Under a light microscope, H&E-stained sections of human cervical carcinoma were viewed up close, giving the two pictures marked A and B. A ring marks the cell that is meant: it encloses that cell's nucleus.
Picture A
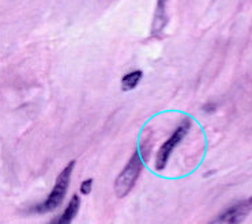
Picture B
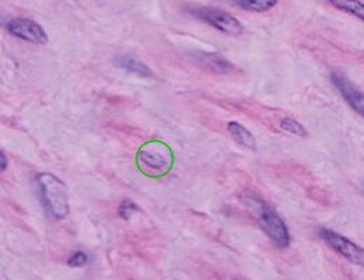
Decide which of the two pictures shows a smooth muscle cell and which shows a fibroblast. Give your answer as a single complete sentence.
Picture A shows a fibroblast and picture B shows a smooth muscle cell.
